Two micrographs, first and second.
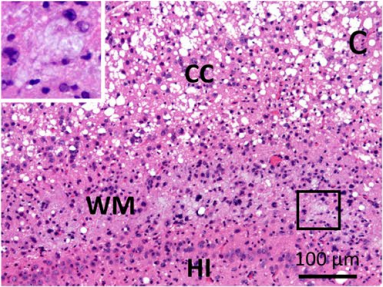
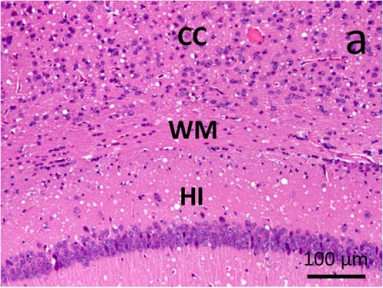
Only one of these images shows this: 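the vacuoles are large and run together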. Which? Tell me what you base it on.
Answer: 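The first image. First image: the cortex is crowded with large clear holes, many merging. Second image: the cortex shows only small scattered separate holes.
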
